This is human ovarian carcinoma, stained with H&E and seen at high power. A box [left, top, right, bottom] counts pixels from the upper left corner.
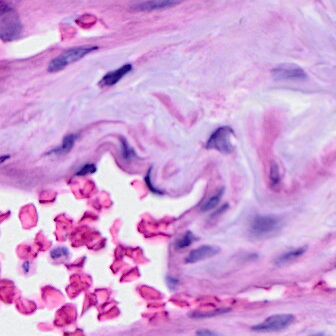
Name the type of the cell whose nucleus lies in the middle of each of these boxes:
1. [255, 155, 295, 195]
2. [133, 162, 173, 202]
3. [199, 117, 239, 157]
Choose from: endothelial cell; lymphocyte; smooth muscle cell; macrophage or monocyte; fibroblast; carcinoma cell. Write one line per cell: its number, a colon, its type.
1: smooth muscle cell
2: endothelial cell
3: fibroblast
